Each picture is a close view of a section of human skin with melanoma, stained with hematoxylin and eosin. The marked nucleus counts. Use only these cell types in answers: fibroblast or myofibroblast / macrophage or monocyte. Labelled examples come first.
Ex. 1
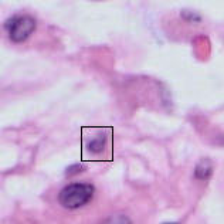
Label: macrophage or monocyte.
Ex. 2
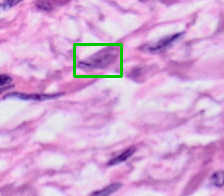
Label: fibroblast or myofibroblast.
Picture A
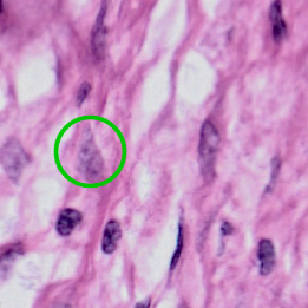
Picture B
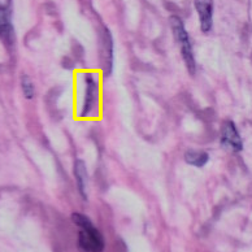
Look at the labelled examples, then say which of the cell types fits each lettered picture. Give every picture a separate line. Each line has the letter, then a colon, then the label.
A: fibroblast or myofibroblast.
B: fibroblast or myofibroblast.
